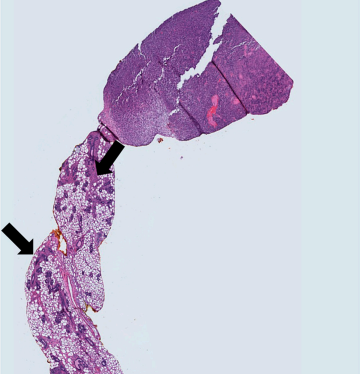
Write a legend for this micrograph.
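A long strip of tissue joins a solid, densely cellular dark purple mass at its upper end, cracked through by sectioning artefact. The rest of the strip is made up of fat, with many pale, empty, polygonal spaces bounded by thin pink membranes. Scattered through the fat lie small dark purple clusters of tightly packed cells, which are tumor cells infiltrating from the tumor into the adipose tissue.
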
